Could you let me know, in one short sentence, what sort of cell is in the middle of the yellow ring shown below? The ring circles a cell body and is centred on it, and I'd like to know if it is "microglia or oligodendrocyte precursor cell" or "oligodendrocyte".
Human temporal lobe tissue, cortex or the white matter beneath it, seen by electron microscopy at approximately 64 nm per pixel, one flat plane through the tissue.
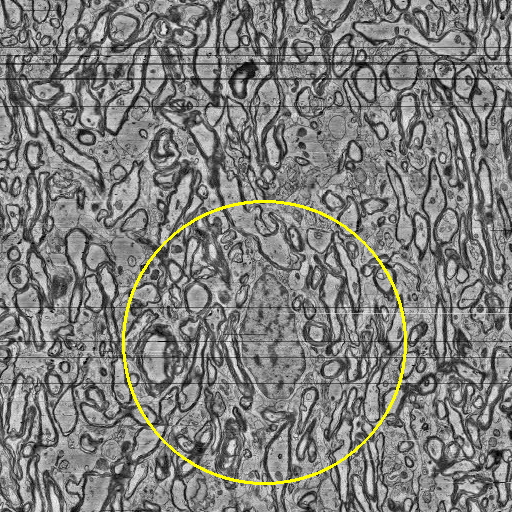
The ring circles the cell body of a microglial cell or oligodendrocyte precursor cell.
